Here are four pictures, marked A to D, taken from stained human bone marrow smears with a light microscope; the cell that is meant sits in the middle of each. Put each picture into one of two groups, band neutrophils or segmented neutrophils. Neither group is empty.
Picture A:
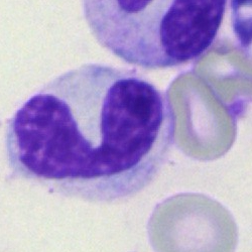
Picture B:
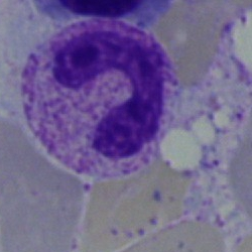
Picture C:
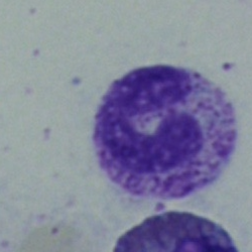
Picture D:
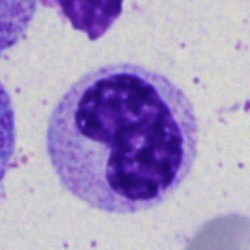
A: segmented neutrophil
B: segmented neutrophil
C: band neutrophil
D: band neutrophil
